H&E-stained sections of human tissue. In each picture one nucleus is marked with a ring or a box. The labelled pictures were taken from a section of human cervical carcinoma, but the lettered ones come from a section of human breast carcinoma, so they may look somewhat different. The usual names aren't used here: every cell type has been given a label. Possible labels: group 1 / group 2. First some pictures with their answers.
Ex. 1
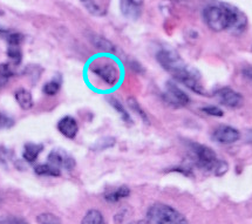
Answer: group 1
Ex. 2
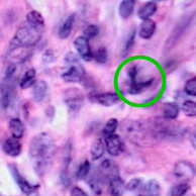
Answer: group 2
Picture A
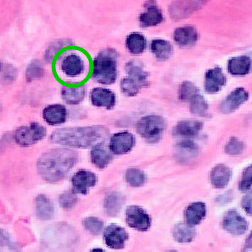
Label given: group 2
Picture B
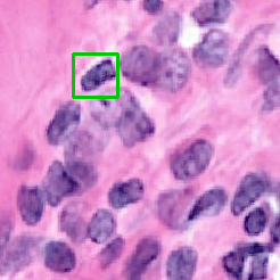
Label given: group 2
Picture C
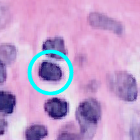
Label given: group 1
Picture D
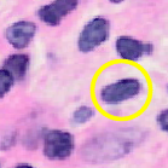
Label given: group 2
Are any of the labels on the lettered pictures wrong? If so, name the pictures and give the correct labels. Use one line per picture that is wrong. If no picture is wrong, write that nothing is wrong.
C is labelled group 1; correct label: group 2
